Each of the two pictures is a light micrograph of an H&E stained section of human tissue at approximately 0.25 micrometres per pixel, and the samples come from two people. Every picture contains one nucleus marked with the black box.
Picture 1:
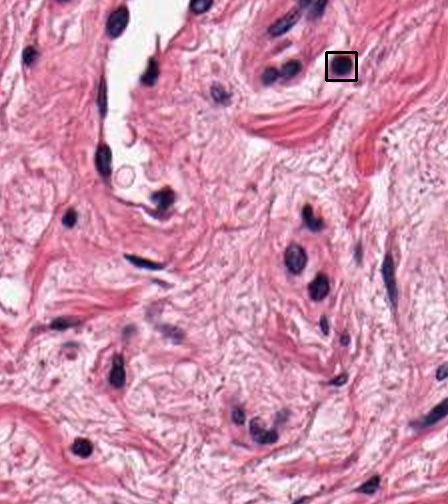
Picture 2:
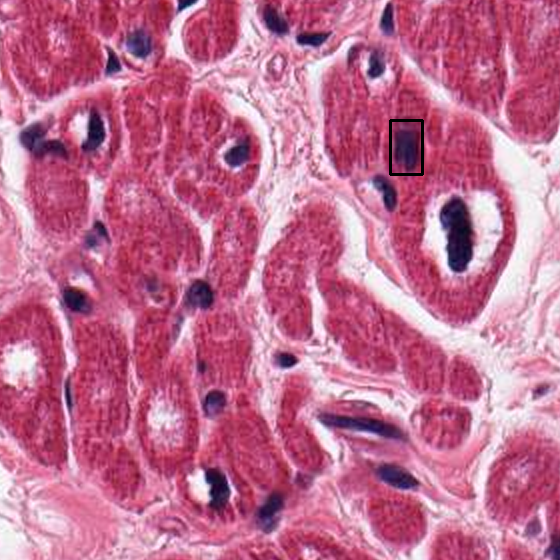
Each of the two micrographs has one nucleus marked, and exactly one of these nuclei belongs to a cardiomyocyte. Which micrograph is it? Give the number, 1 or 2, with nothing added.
2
